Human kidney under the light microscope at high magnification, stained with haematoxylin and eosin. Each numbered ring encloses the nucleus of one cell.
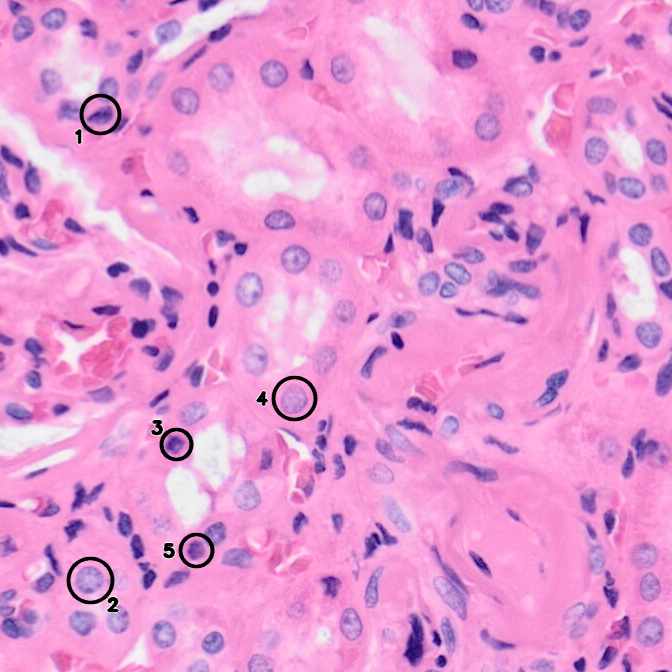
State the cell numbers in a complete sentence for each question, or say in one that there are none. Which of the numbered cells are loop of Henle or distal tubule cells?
Each of the cells numbered 2, 3 and 5 is among the loop of Henle or distal tubule cells.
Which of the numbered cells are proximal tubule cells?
Being a proximal tubule cell is true of cell 4 and of no other numbered cell.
